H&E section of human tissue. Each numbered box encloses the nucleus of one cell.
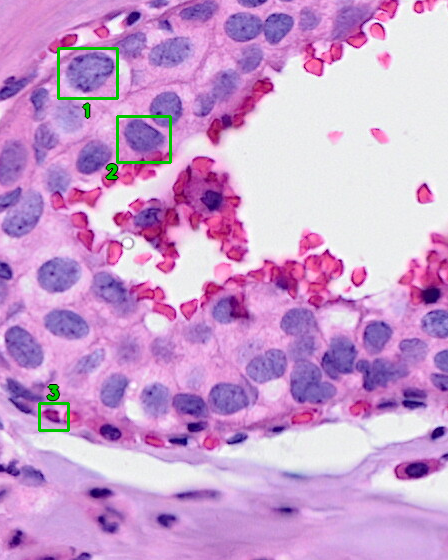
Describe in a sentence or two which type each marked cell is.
Cell 1 is a carcinoma cell, cell 2 is a carcinoma cell and cell 3 is an endothelial cell.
